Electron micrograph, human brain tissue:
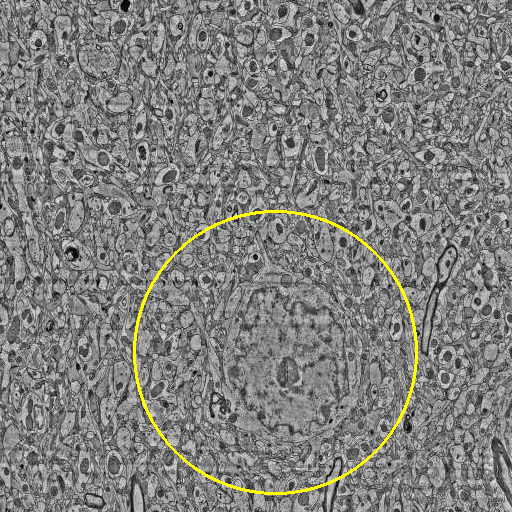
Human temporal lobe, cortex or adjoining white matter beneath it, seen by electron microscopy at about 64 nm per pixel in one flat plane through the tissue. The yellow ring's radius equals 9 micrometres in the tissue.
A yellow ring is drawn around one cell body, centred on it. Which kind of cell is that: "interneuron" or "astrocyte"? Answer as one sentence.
It is an interneuron at the centre of the ring.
